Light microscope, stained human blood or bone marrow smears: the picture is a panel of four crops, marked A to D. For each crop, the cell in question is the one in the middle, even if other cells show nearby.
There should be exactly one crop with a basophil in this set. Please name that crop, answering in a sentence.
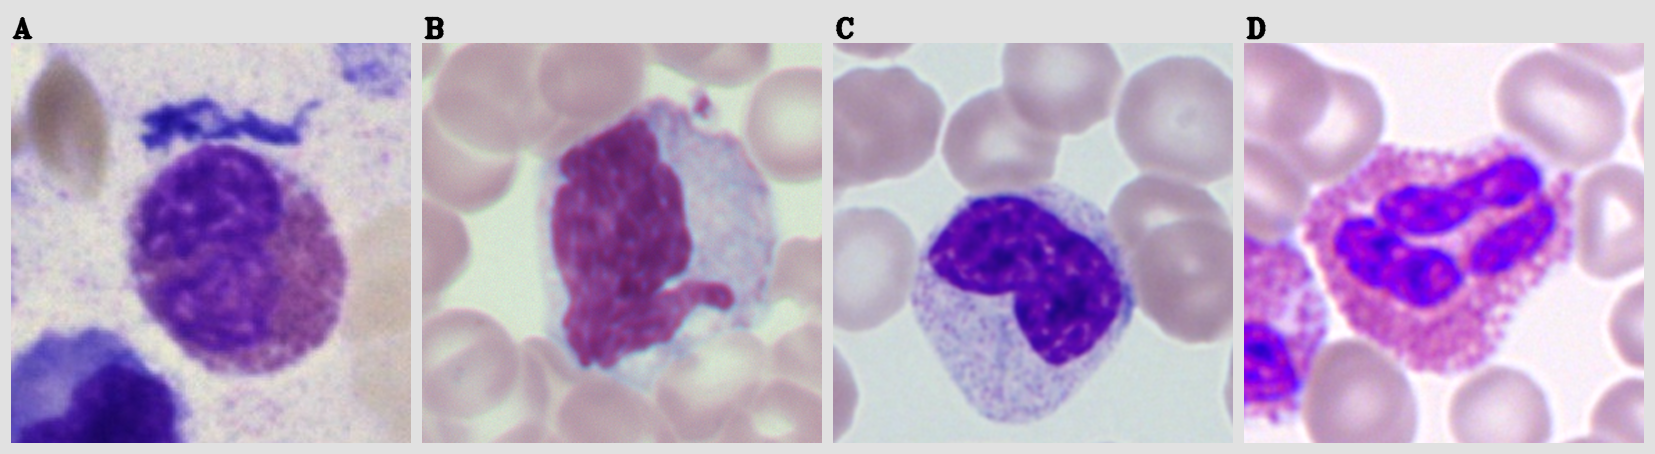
So the crop with a basophil at its center is crop A.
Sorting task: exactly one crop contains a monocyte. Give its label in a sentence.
The one crop that shows a monocyte is crop B.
